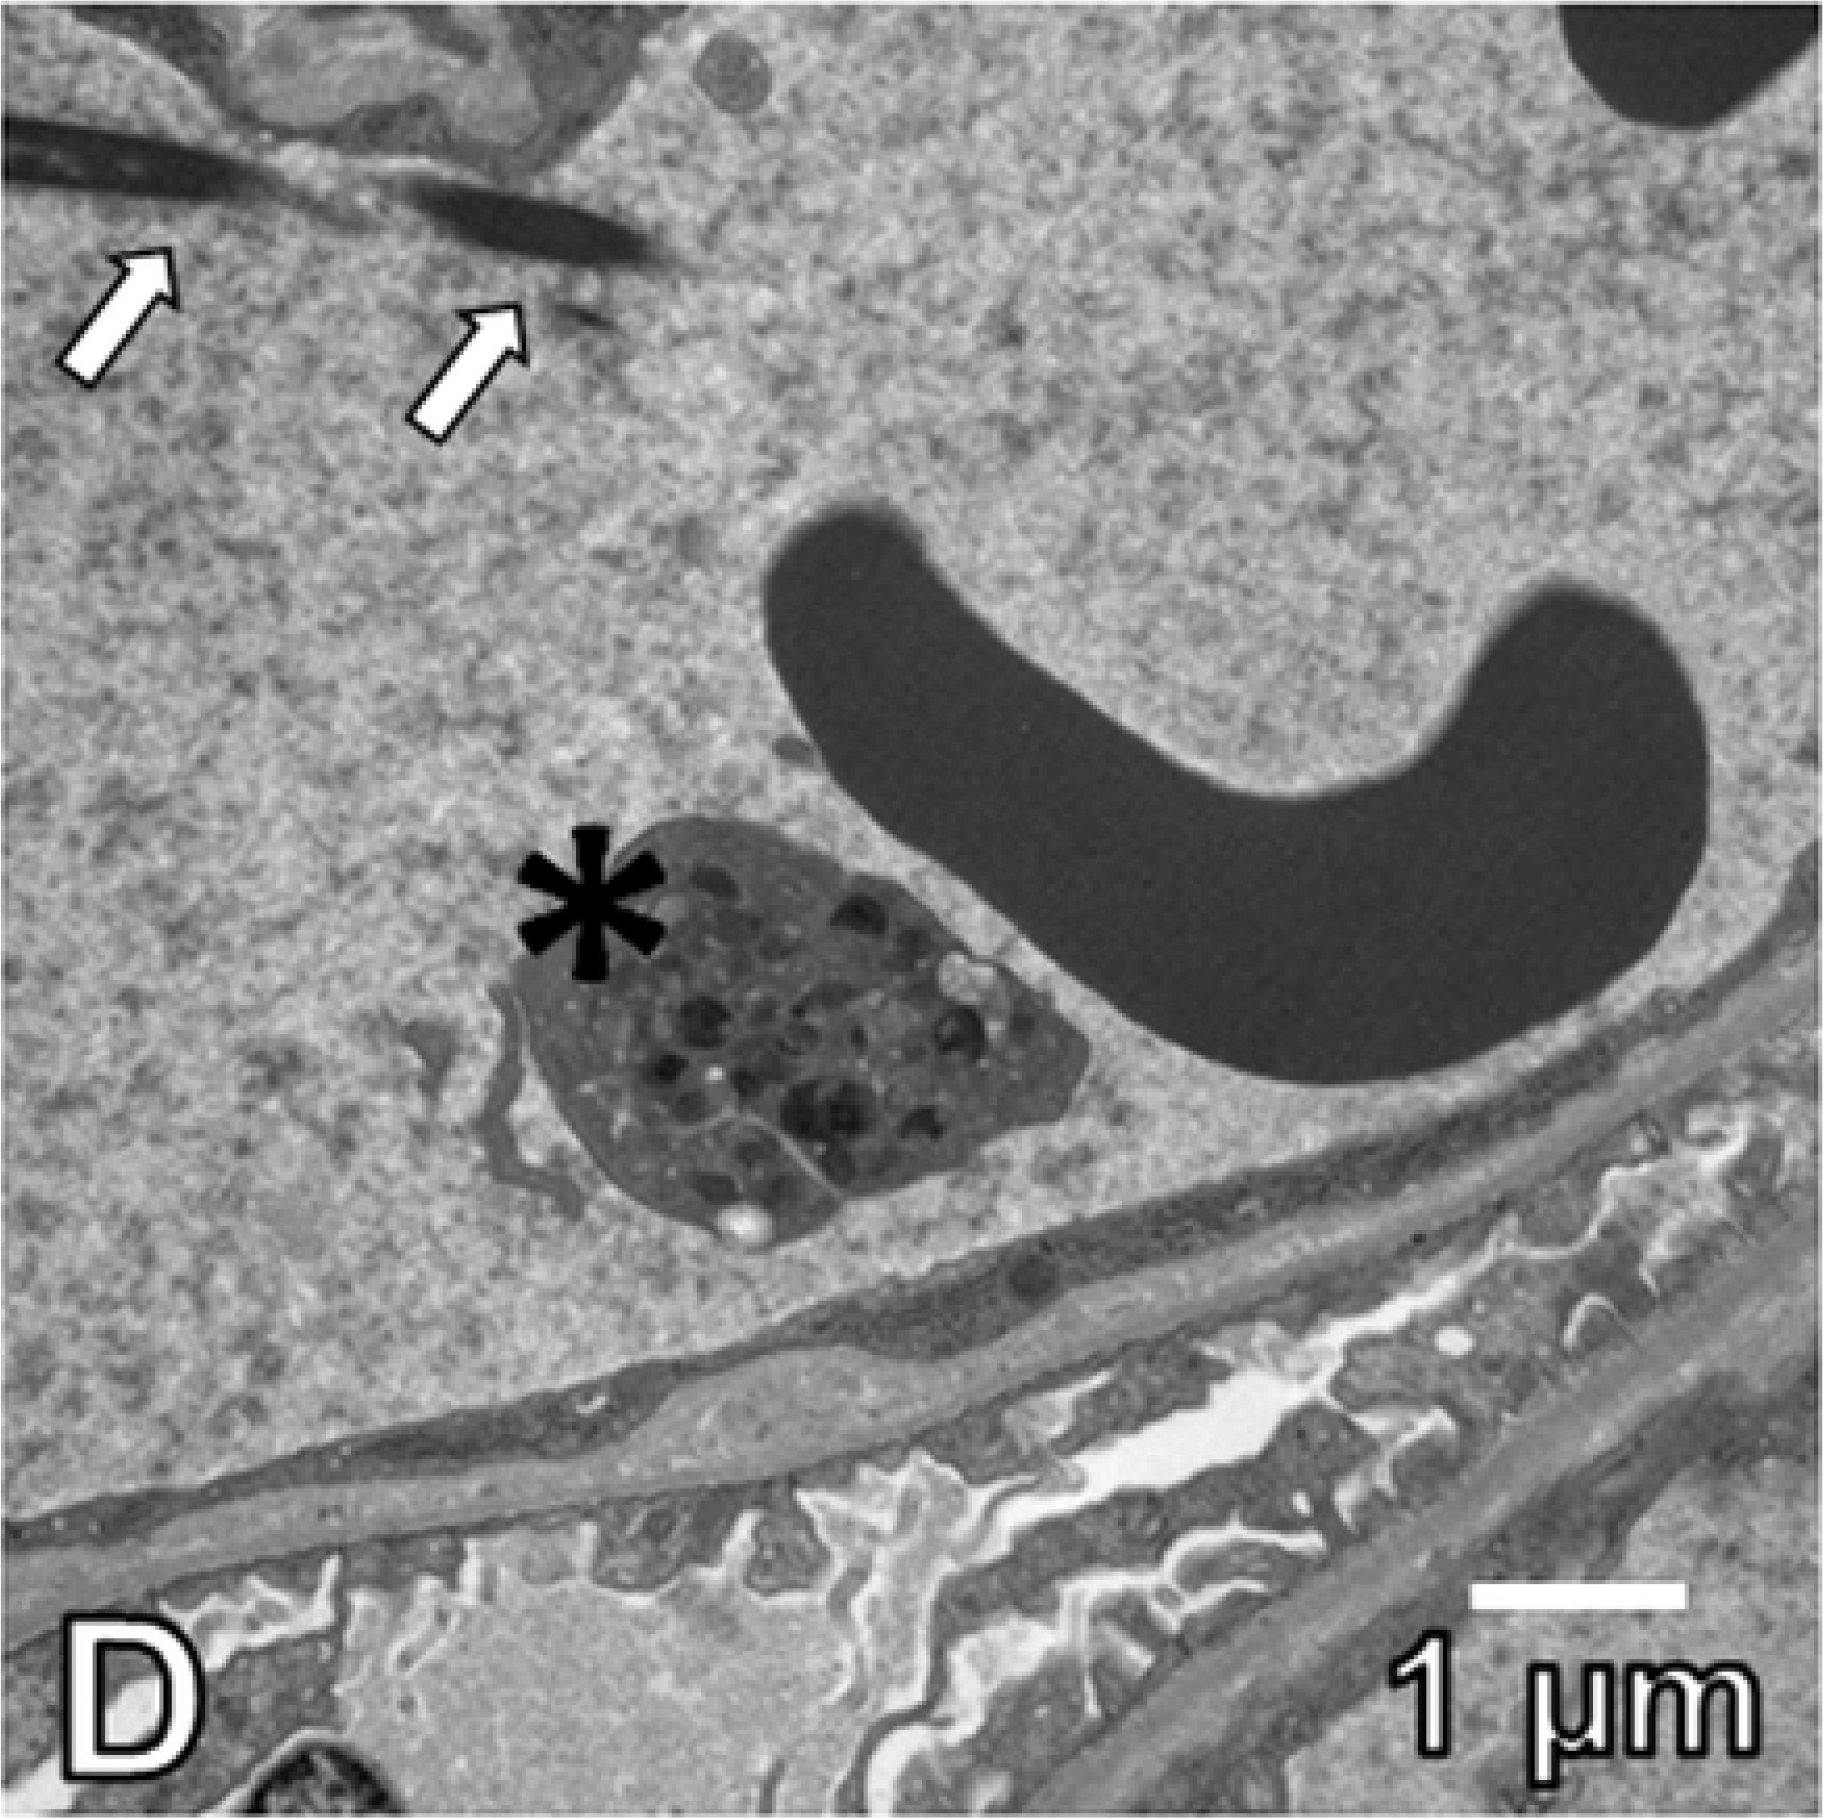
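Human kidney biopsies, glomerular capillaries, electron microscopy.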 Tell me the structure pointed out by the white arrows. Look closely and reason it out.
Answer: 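Fibrin tactoids. Two dark elongated spindle-shaped deposits lie in the lumen. They are denser than the surrounding plasma and not membrane-bound.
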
